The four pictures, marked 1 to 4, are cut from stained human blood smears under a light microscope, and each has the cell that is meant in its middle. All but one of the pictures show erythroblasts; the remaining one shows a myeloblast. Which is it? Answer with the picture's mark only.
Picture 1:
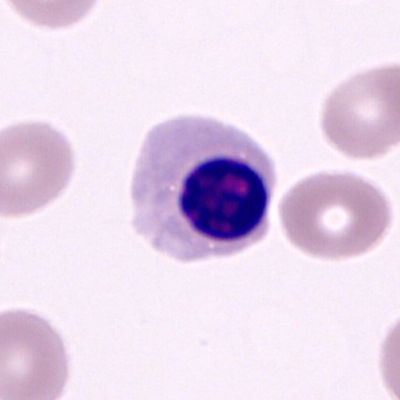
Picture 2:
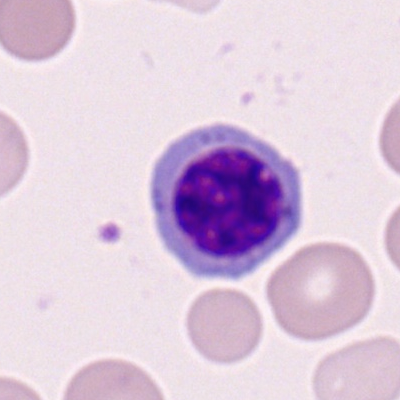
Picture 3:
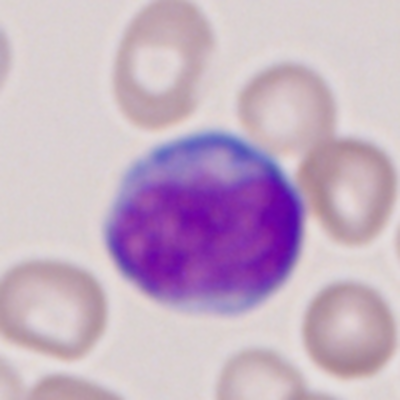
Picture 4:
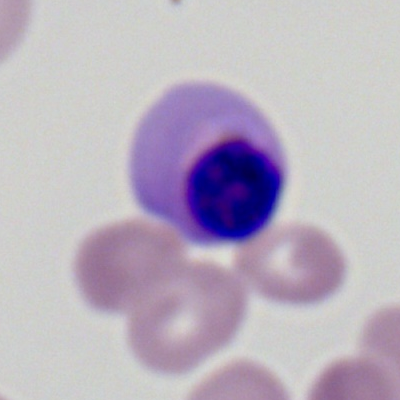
3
